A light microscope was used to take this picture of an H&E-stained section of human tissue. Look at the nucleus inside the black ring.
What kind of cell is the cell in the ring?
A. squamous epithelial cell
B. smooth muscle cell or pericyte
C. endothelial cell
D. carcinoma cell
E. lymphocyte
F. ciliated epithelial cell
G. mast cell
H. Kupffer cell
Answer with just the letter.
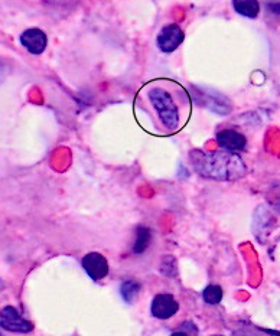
G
